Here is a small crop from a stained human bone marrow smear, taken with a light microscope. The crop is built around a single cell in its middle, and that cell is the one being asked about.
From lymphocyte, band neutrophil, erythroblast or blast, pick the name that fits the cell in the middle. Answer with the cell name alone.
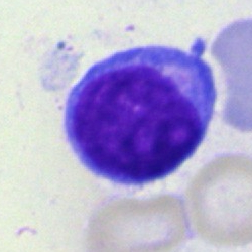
lymphocyte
